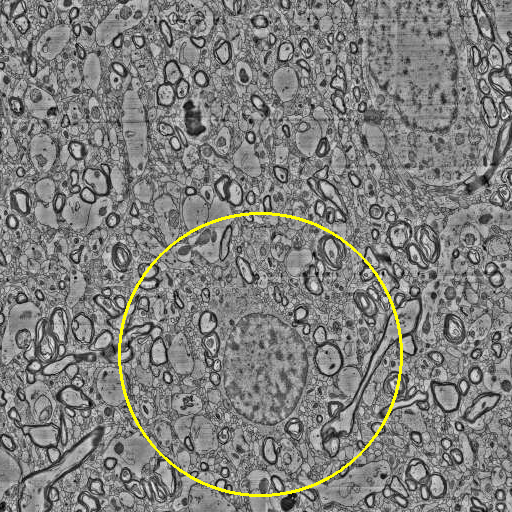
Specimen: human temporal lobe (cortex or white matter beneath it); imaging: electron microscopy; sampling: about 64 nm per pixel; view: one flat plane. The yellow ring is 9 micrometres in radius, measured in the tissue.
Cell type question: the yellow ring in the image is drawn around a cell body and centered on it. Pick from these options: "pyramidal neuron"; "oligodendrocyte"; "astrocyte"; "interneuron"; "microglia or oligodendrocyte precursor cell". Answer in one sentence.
The ringed cell at the center is an oligodendrocyte.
